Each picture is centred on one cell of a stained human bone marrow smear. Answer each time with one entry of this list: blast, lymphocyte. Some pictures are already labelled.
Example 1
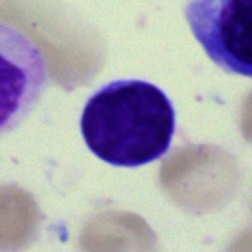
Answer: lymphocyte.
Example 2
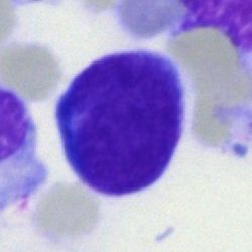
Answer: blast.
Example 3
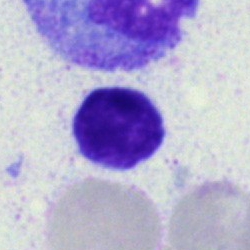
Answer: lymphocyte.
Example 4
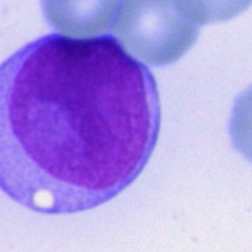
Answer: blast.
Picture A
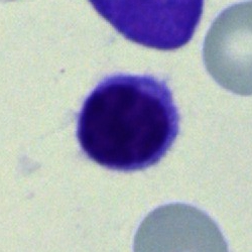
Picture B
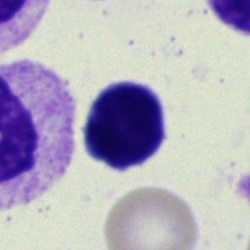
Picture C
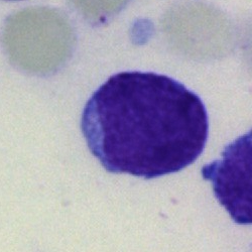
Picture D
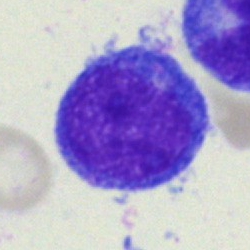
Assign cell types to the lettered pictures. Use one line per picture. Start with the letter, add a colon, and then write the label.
A: lymphocyte.
B: lymphocyte.
C: blast.
D: blast.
